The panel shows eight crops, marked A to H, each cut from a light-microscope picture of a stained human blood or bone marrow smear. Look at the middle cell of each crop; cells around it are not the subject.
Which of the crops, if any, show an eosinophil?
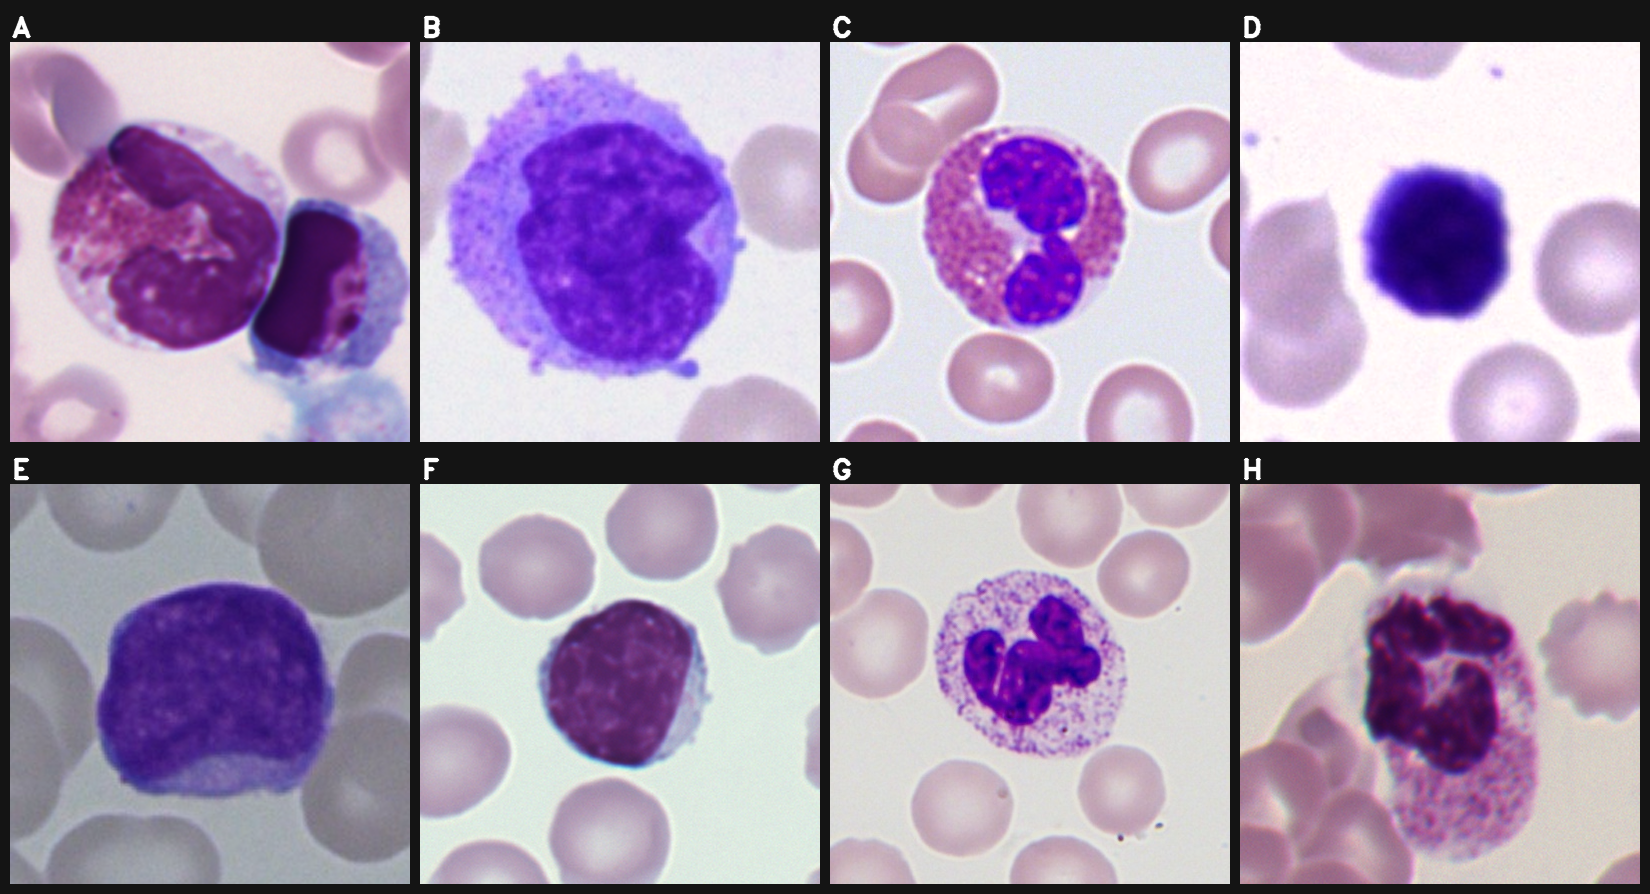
A, C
